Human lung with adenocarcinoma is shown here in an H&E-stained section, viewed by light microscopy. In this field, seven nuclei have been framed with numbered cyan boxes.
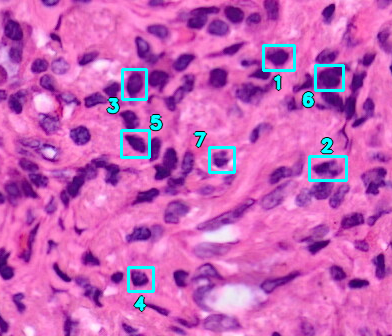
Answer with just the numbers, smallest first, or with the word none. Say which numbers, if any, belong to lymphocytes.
2, 4, 5, 7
